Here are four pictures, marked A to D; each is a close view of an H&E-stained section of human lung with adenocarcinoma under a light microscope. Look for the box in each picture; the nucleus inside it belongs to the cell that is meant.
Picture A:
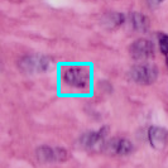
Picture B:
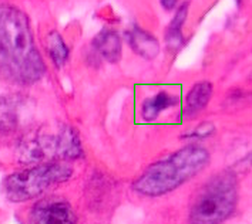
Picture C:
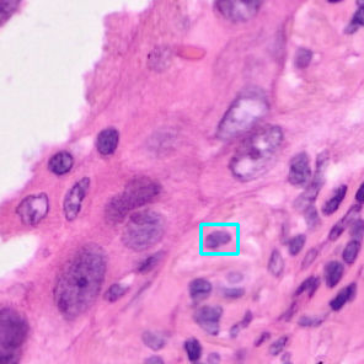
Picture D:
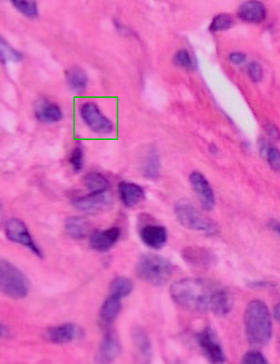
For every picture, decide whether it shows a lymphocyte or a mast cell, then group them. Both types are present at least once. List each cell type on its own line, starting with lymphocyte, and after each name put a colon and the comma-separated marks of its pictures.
lymphocyte: B, C
mast cell: A, D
